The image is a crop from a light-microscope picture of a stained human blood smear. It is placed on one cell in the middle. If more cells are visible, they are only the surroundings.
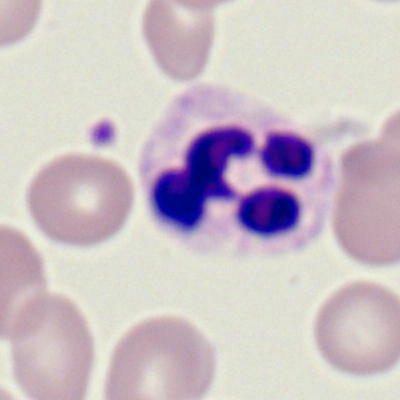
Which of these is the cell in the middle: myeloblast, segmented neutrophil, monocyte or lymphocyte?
segmented neutrophil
